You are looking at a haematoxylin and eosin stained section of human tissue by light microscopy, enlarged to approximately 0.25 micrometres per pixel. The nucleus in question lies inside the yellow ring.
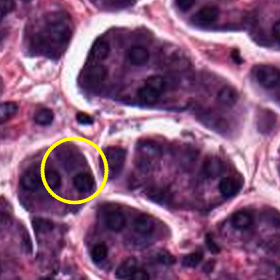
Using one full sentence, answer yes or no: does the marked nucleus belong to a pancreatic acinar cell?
Yes, the marked nucleus is one belonging to a pancreatic acinar cell.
